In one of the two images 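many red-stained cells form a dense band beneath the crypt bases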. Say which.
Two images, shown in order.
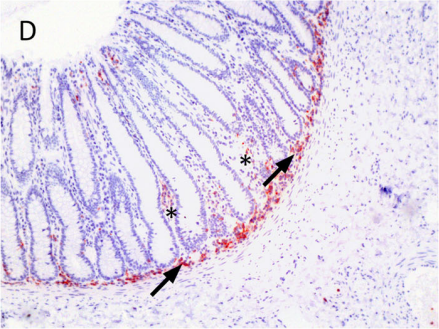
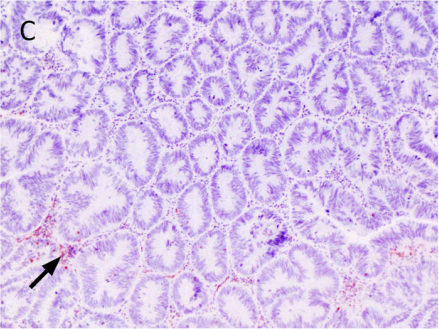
The first image.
